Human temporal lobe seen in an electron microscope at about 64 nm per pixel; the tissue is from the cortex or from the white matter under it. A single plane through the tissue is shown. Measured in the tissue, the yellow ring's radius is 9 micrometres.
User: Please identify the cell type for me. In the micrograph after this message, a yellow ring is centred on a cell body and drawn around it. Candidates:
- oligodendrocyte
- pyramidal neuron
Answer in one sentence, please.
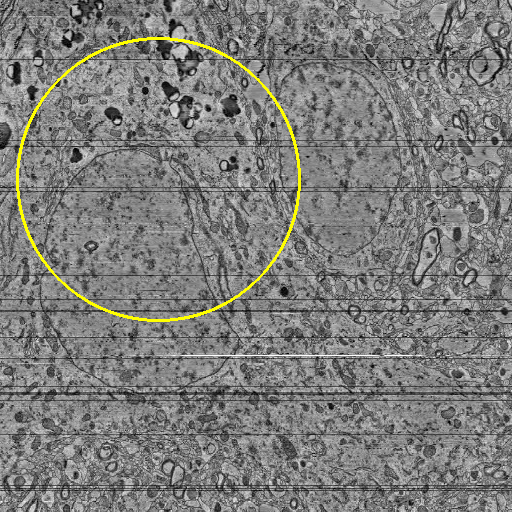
The ring is drawn around the cell body of a pyramidal neuron.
